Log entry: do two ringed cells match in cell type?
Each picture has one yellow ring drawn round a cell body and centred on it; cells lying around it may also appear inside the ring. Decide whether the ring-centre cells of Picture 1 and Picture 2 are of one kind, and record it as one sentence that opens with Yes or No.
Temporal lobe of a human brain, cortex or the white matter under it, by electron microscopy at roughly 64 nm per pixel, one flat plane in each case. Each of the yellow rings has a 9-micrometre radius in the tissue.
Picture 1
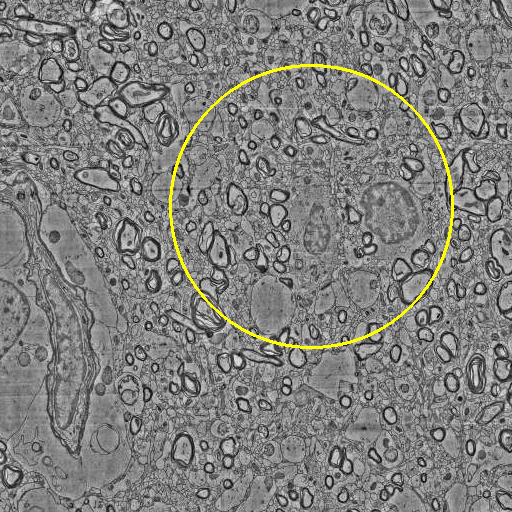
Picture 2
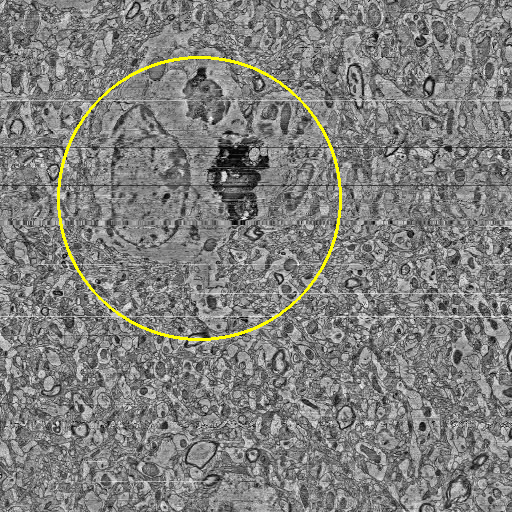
No, the cells at the ring centres of the two pictures belong to two kinds.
